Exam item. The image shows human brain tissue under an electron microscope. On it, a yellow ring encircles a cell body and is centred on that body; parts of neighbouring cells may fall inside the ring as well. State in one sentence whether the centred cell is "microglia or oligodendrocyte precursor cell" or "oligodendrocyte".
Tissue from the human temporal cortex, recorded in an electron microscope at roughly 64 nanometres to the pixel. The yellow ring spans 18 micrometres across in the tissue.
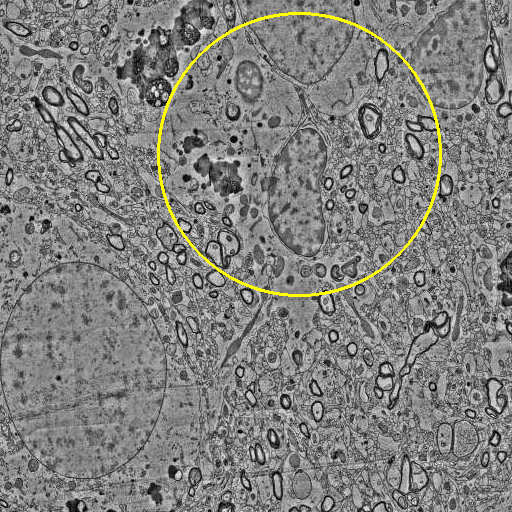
The cell body centred in the ring is a microglial cell or oligodendrocyte precursor cell.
